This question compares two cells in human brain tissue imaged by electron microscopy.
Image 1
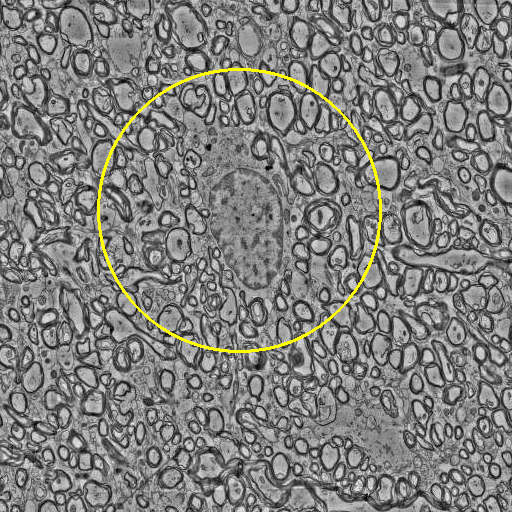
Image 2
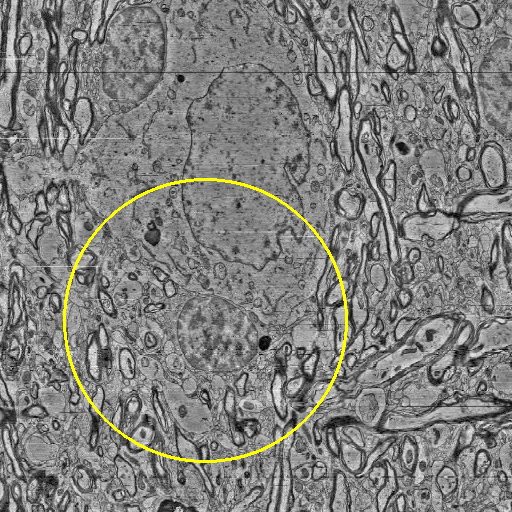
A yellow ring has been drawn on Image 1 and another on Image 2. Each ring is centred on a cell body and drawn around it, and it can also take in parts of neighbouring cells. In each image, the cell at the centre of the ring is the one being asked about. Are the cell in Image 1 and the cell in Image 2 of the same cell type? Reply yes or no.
yes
